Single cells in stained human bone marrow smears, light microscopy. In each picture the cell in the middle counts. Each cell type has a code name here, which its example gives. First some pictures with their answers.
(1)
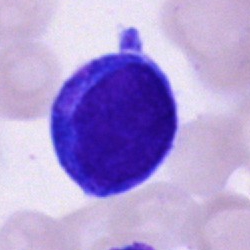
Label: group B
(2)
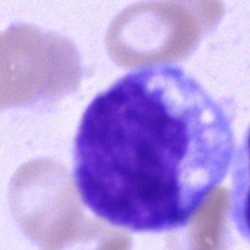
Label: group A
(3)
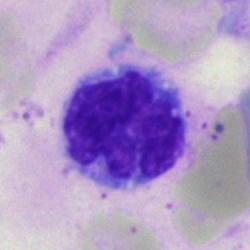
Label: group A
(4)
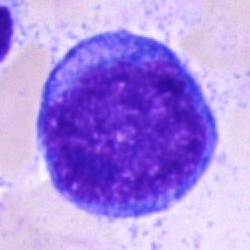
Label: group B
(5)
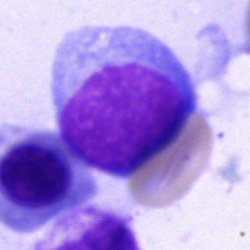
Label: group B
